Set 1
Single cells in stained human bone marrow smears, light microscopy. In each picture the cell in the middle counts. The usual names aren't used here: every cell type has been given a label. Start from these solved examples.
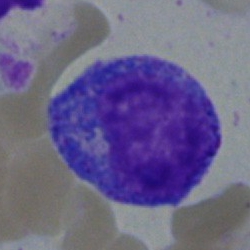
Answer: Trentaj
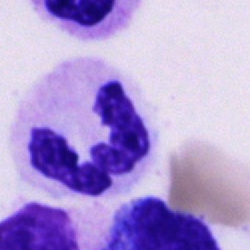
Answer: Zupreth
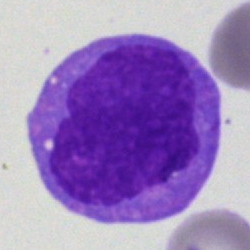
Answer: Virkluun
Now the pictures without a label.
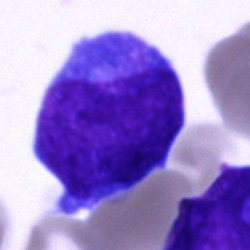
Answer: Virkluun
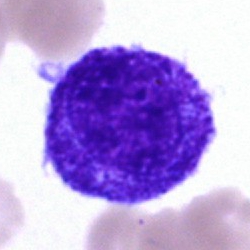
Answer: Trentaj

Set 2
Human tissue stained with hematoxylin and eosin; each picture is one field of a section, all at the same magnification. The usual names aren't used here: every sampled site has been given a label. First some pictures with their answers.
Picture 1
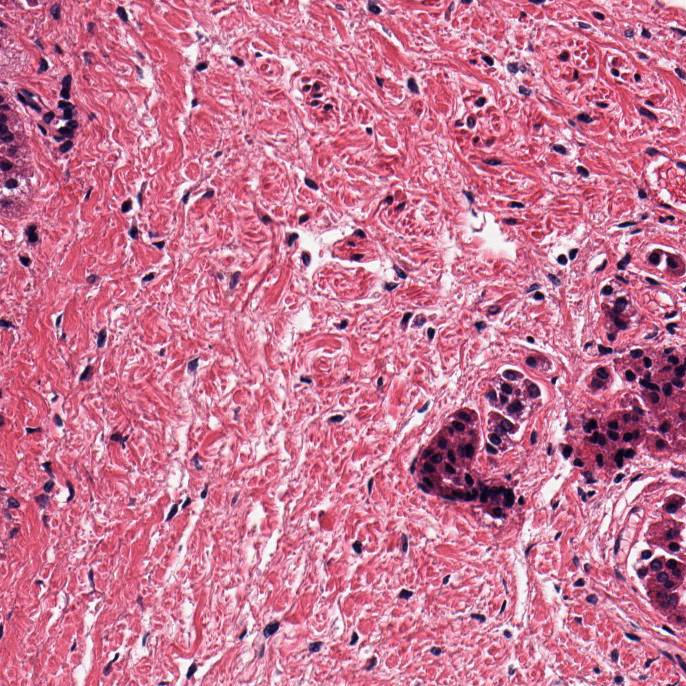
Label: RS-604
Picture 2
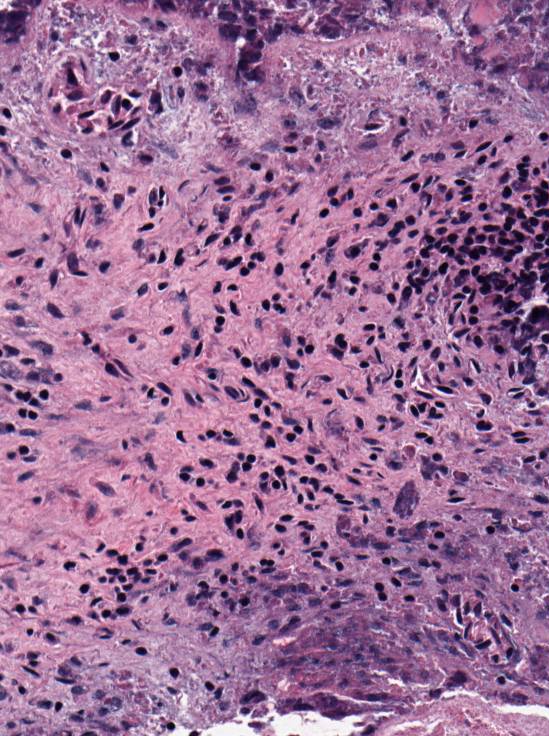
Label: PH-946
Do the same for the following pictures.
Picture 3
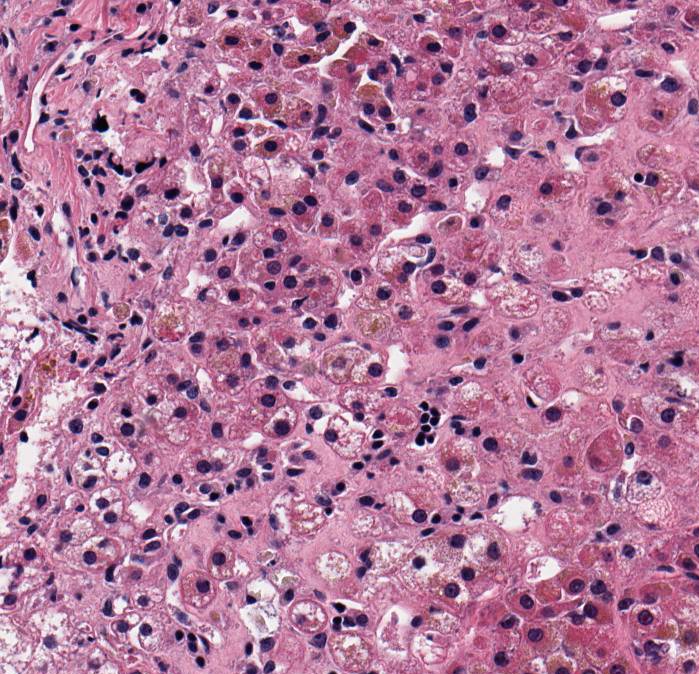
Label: RS-604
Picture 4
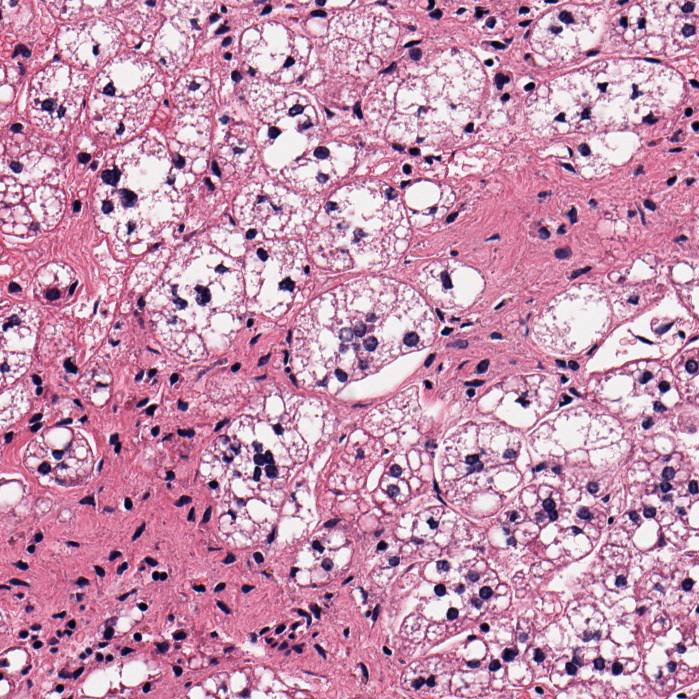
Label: RS-604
